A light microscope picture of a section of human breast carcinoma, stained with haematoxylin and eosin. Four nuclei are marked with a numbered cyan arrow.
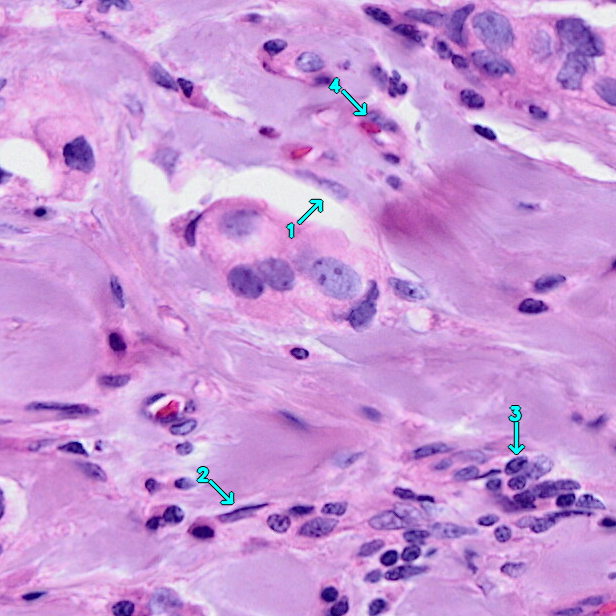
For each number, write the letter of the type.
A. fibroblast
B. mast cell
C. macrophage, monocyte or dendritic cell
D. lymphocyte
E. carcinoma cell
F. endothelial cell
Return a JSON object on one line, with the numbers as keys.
{"1": "A", "2": "A", "3": "D", "4": "F"}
